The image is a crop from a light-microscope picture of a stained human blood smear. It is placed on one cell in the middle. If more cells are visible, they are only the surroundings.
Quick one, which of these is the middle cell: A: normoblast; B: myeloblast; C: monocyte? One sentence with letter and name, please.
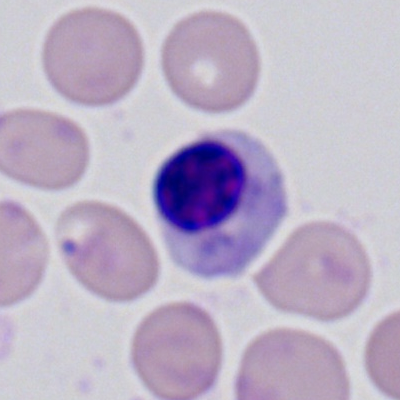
Option A is the keyed answer: the cell in the middle is a normoblast.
